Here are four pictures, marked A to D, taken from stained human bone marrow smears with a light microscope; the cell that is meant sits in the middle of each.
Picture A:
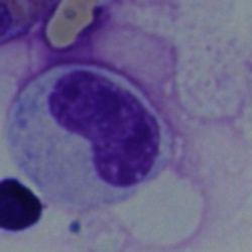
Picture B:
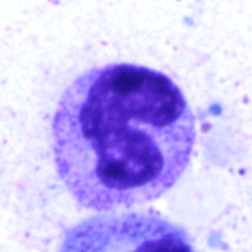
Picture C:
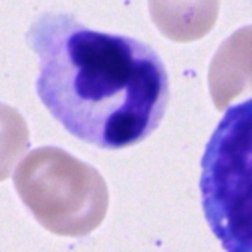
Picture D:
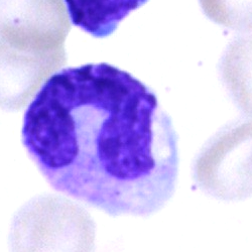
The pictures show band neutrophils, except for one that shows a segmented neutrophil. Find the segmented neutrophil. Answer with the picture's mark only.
C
